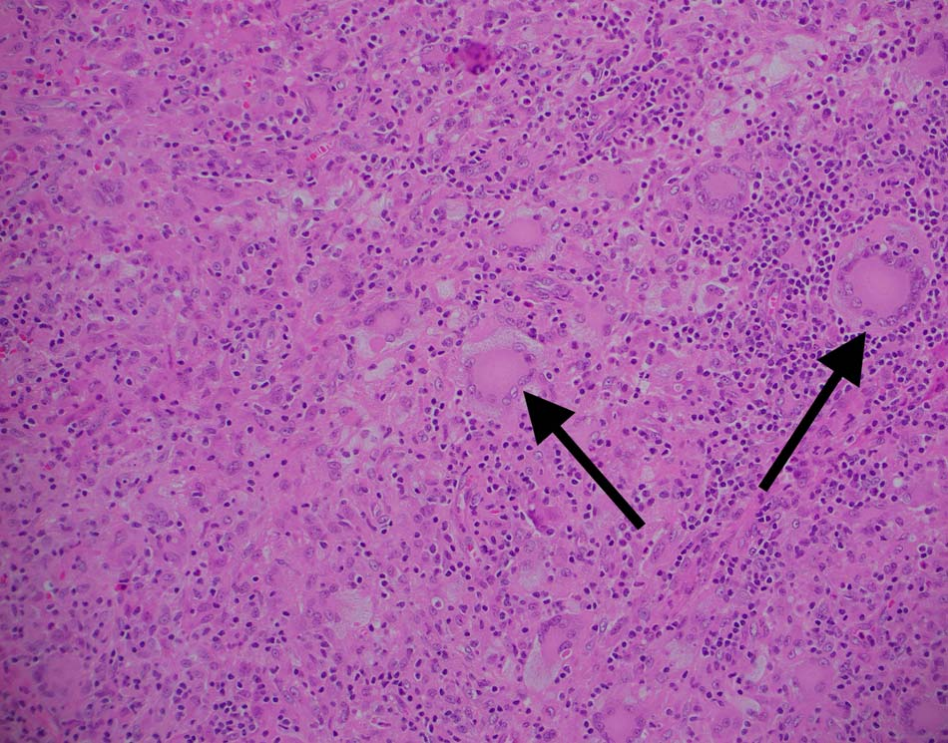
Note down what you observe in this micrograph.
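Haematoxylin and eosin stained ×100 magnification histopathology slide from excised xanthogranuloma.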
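The giant cells are several times the size of their neighbours. Each has a central zone of homogeneous pink cytoplasm encircled by a wreath of small purple nuclei. The background is made of many cells with small round dark nuclei set in pale pink stroma, and similar ring-shaped giant cells are found across the field.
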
